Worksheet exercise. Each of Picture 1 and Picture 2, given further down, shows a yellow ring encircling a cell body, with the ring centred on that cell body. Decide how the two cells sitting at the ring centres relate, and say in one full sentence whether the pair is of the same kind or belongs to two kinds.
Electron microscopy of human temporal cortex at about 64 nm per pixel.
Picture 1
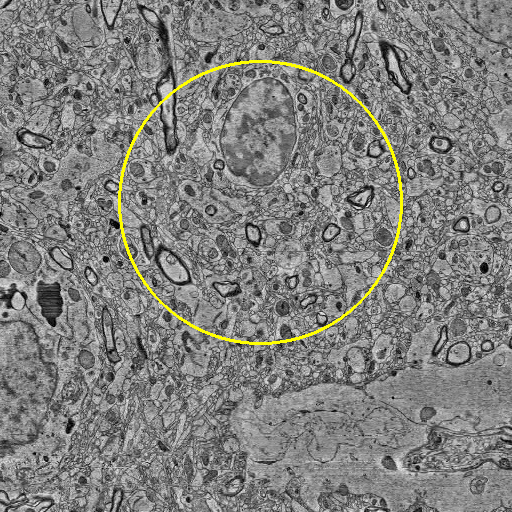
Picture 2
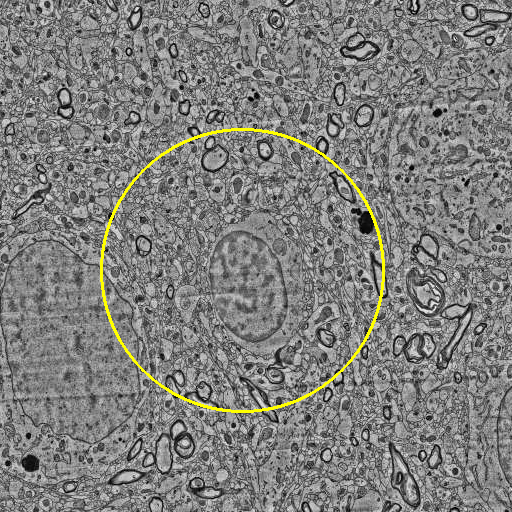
The cells at the ring centres in Picture 1 and Picture 2 belong to two kinds.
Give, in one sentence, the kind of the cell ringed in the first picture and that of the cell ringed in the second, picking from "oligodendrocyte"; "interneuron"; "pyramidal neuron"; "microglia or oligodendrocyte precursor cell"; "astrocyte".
For the first picture it is a microglial cell or oligodendrocyte precursor cell; for the second, an oligodendrocyte.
